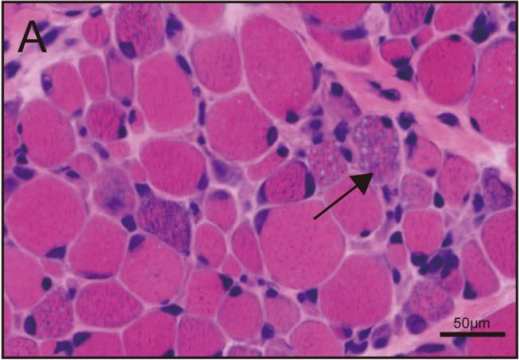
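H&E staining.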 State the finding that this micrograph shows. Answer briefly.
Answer: variability in muscle fiber size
